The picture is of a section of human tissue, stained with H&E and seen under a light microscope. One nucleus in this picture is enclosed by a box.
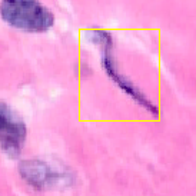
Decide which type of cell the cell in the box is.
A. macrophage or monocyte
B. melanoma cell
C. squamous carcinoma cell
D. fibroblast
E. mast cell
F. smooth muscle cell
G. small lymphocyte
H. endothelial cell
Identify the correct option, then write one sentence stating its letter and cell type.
Here the cell in the box is a fibroblast; pick option D.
